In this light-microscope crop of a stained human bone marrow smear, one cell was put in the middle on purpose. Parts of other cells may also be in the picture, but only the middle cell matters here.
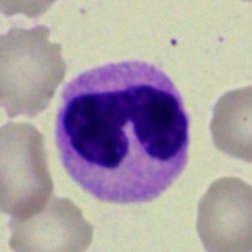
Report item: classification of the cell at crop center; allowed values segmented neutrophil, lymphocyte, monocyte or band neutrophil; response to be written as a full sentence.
The cell under consideration, at the middle of the crop, is a band neutrophil.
